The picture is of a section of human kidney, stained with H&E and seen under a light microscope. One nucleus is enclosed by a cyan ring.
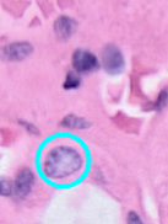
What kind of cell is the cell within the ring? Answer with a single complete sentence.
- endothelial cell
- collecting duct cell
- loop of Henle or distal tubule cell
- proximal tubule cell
This is a collecting duct cell.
